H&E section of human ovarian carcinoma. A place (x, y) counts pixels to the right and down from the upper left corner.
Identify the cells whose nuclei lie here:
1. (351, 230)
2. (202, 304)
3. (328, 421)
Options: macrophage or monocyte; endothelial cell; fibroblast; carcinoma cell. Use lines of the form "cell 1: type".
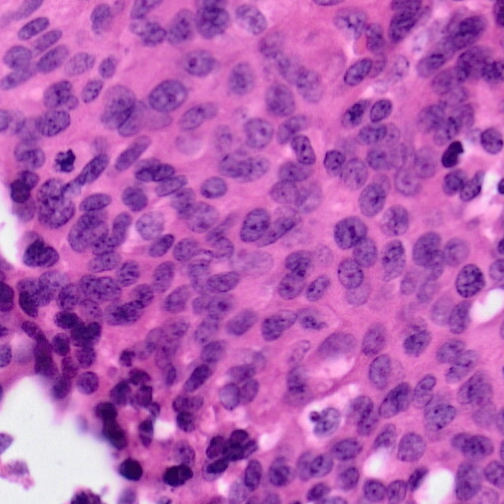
cell 1: carcinoma cell
cell 2: carcinoma cell
cell 3: macrophage or monocyte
